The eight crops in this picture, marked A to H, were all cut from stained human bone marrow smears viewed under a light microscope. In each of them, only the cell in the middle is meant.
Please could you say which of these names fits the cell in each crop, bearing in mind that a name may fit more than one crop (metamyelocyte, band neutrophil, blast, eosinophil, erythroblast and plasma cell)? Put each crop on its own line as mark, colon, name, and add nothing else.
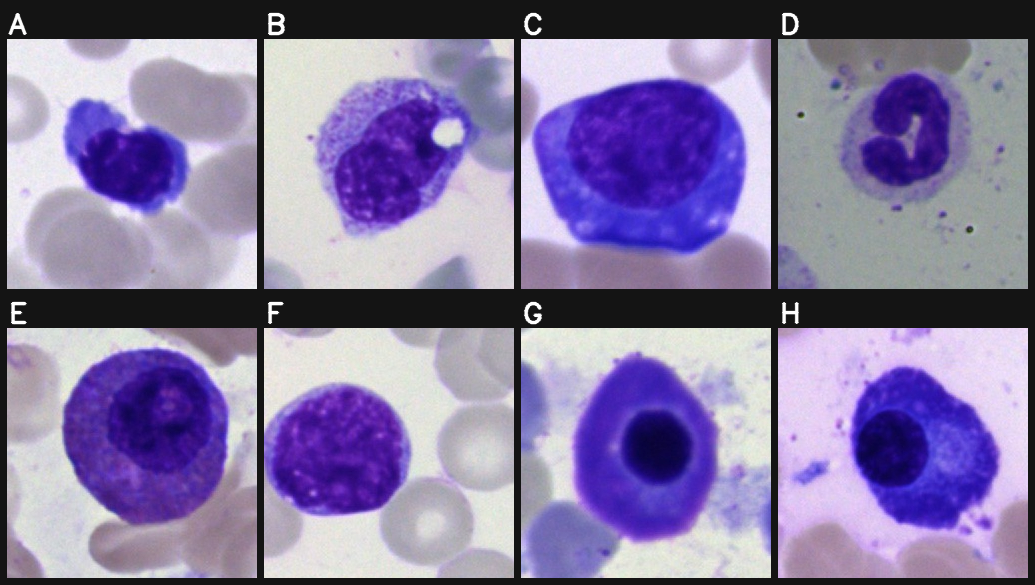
A: erythroblast
B: metamyelocyte
C: plasma cell
D: band neutrophil
E: eosinophil
F: blast
G: plasma cell
H: plasma cell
